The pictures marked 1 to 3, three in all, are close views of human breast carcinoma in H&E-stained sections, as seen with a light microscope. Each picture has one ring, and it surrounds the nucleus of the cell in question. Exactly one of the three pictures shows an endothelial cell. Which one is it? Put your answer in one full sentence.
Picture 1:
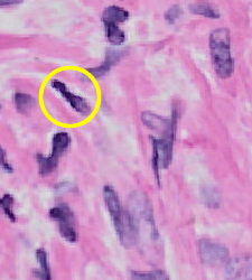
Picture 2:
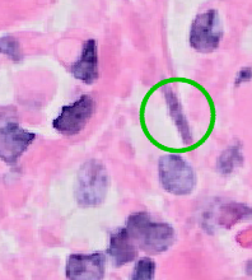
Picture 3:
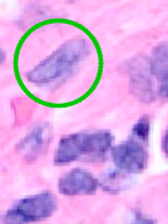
Picture 3 is the one that shows the endothelial cell.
